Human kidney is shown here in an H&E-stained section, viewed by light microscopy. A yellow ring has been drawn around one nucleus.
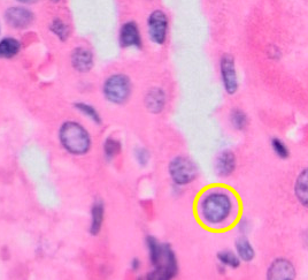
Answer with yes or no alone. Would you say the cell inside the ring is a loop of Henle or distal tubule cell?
yes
